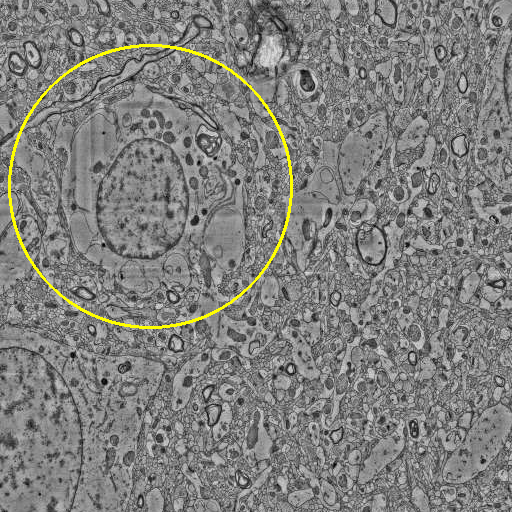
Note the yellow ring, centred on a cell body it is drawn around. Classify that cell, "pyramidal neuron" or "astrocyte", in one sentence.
The cell the ring is centred on is an astrocyte.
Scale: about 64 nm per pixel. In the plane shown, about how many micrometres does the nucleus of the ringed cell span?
In this plane, about 8 micrometres in length and 6 in width.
